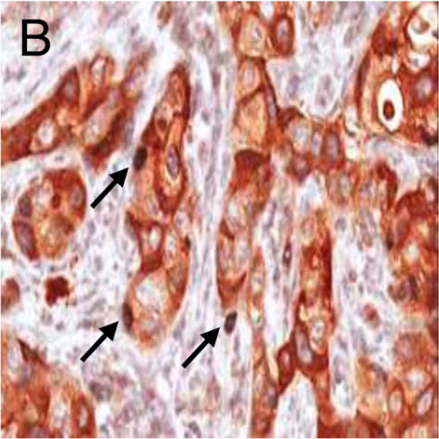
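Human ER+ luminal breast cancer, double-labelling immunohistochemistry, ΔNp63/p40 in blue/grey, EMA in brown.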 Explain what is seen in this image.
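The tumour cells are polygonal, with strong brown staining outlining their membranes and filling their cytoplasm, and rounded nuclei with visible nucleoli. At places one cell shows a small glandular lumen. Along the edges of the nests, a few small cells have compact dark blue-grey nuclei and stand out against the brown; these sit at the border between tumour nest and stroma rather than in the middle of the nests.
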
